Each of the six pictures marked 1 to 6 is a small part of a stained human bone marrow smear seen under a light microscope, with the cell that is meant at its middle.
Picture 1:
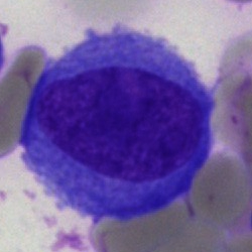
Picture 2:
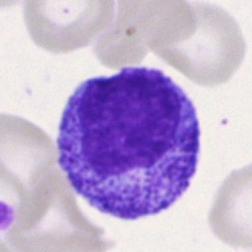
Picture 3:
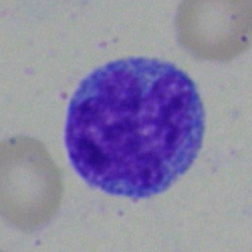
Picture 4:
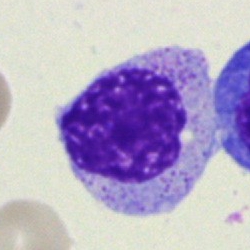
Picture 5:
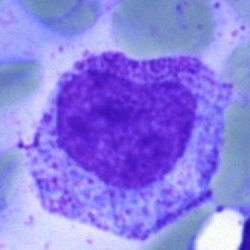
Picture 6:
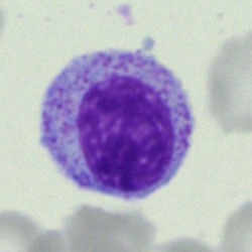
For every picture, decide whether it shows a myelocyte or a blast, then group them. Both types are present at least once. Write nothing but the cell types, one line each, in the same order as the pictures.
blast
myelocyte
blast
myelocyte
myelocyte
myelocyte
